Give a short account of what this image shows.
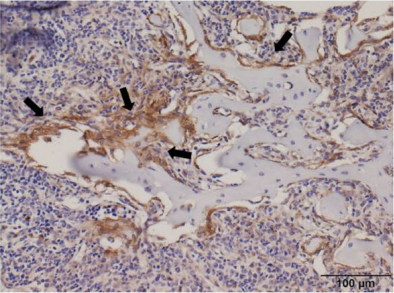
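Within the pale bone, scattered small nuclei sit in the matrix. The surrounding marrow is crowded with small round cells with blue-stained nuclei, and few or no empty round fat spaces are seen.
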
